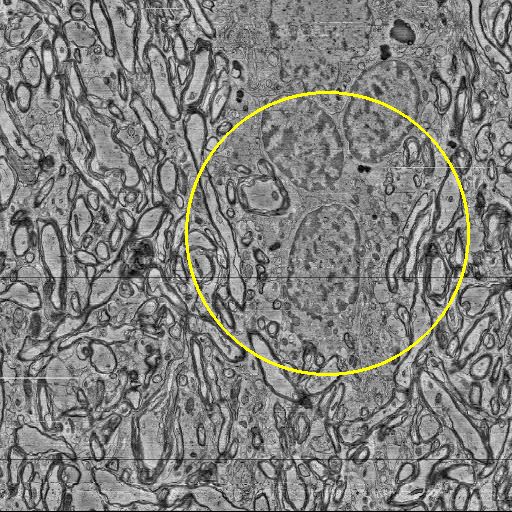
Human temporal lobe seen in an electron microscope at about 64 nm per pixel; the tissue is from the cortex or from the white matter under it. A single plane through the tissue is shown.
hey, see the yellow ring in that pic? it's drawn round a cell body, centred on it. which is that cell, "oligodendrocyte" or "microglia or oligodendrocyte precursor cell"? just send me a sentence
The cell in the ring is an oligodendrocyte.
